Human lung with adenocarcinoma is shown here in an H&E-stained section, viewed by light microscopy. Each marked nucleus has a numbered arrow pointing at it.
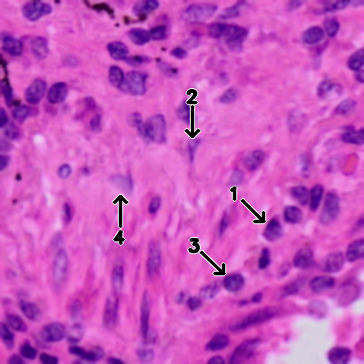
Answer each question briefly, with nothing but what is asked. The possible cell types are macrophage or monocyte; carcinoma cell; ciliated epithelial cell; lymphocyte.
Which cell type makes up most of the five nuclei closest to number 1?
lymphocyte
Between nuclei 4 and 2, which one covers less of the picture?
2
